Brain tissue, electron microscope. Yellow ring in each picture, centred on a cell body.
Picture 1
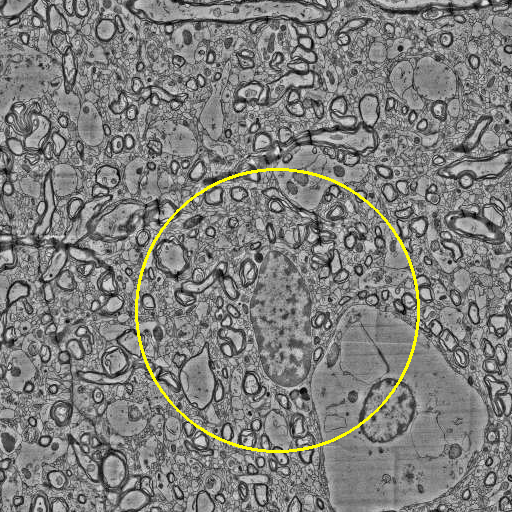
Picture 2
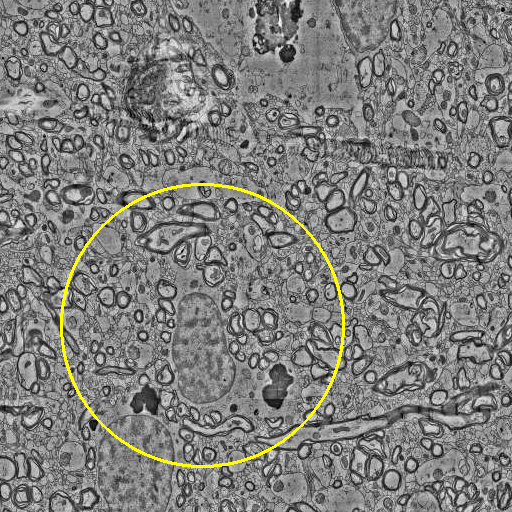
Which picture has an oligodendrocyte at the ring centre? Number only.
2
